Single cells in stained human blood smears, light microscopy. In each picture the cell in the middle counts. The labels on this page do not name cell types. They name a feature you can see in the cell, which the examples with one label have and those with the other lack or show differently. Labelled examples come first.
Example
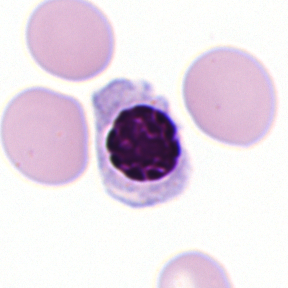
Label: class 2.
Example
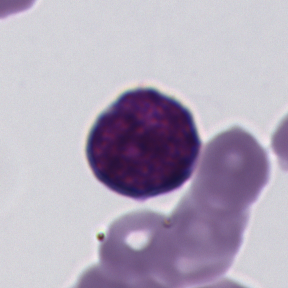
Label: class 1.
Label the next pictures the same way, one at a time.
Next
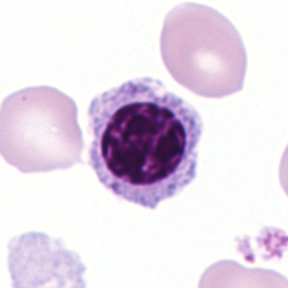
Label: class 2.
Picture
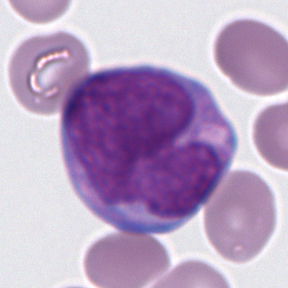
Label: class 1.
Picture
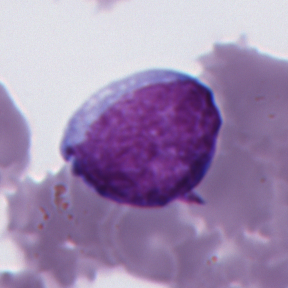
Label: class 2.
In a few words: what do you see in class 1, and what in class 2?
class 1, smooth outline; class 2, ragged outline or projections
